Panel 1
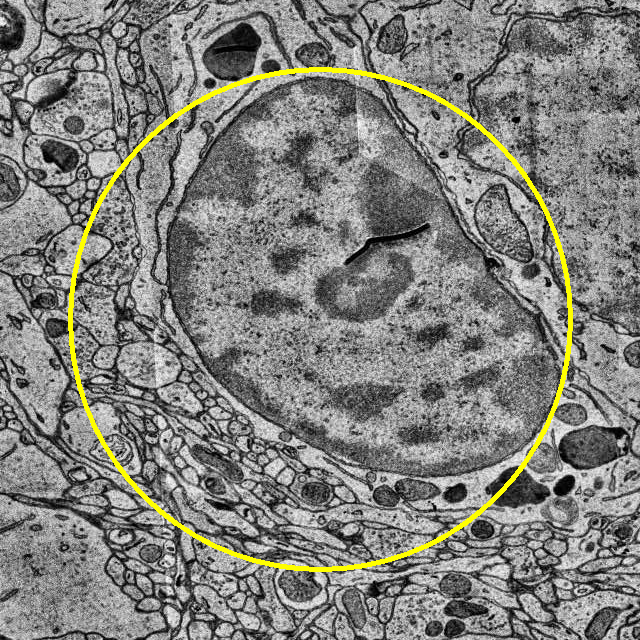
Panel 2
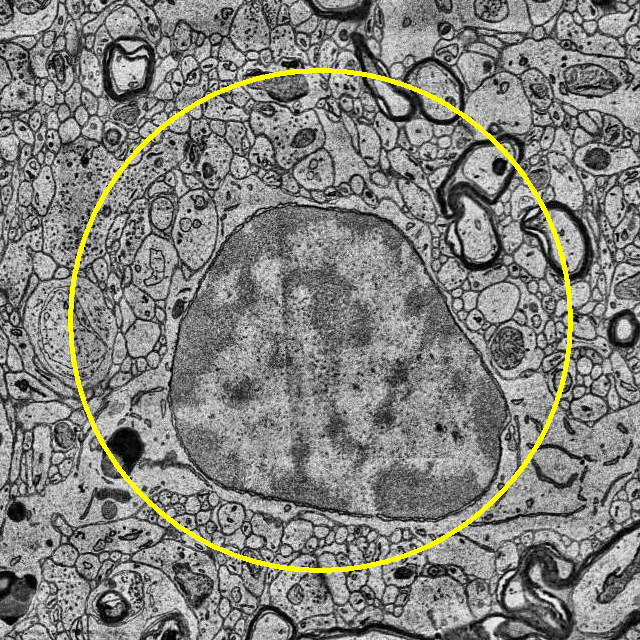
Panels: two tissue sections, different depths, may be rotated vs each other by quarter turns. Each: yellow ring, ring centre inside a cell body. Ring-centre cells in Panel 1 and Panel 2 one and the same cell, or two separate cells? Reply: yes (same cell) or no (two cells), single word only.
no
